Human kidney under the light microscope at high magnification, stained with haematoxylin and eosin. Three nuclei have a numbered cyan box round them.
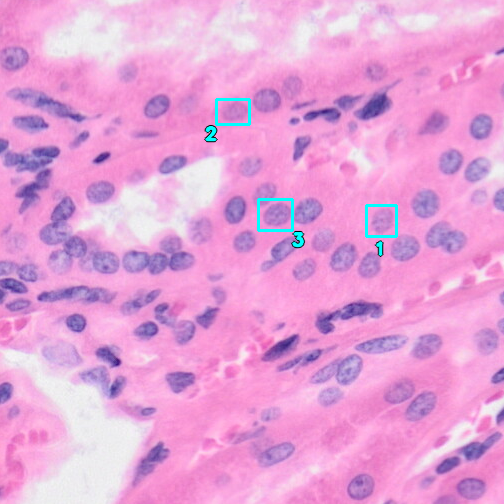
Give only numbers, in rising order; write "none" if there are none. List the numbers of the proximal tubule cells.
2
